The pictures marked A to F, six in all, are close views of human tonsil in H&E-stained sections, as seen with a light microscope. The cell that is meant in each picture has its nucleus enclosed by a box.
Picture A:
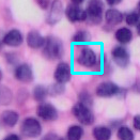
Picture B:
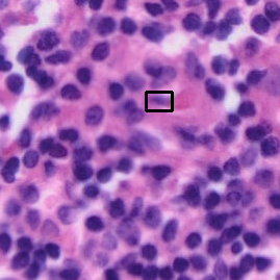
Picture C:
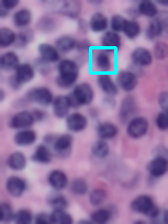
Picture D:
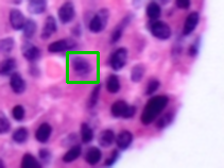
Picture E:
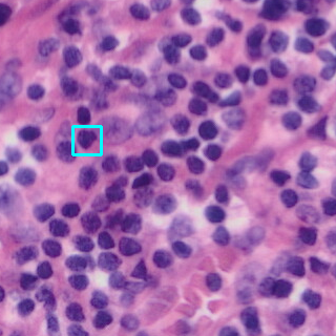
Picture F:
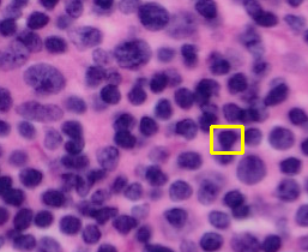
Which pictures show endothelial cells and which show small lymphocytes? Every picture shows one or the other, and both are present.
A: small lymphocyte
B: endothelial cell
C: small lymphocyte
D: endothelial cell
E: endothelial cell
F: small lymphocyte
